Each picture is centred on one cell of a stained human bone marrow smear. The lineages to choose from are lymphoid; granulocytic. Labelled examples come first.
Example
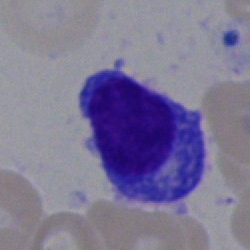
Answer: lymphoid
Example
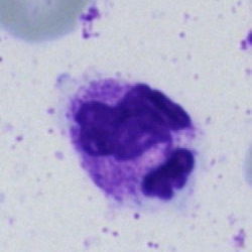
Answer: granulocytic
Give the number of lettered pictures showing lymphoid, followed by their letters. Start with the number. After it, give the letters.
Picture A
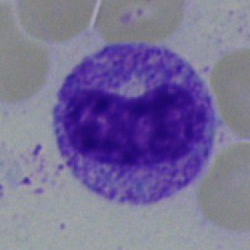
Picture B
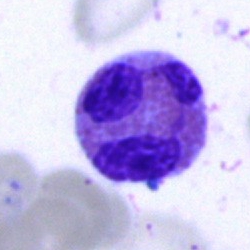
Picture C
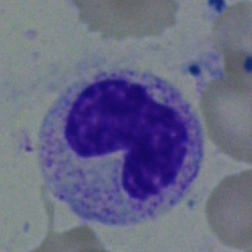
0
